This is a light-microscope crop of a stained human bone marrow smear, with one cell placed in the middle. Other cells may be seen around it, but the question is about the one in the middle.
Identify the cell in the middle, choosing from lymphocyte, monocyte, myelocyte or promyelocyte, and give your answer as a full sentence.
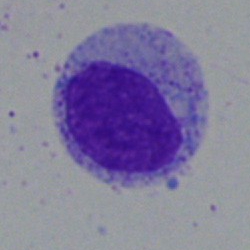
As for the cell in the middle, it is a myelocyte.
